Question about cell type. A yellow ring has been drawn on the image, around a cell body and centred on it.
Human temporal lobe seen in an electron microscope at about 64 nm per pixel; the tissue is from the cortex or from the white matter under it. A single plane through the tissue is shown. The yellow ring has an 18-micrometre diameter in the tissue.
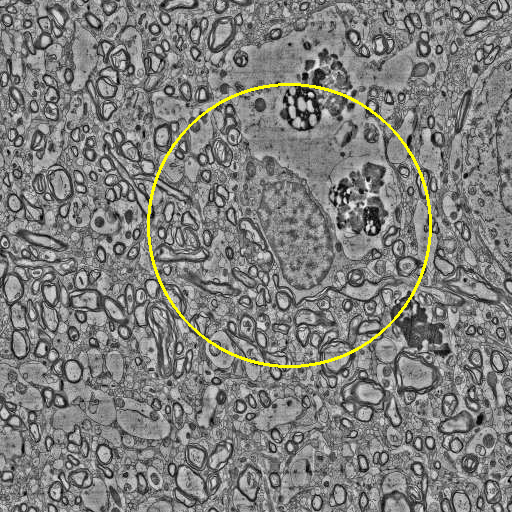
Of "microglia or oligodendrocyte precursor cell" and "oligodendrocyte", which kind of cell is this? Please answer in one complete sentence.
At the centre of the ring lies an oligodendrocyte.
